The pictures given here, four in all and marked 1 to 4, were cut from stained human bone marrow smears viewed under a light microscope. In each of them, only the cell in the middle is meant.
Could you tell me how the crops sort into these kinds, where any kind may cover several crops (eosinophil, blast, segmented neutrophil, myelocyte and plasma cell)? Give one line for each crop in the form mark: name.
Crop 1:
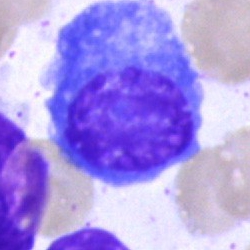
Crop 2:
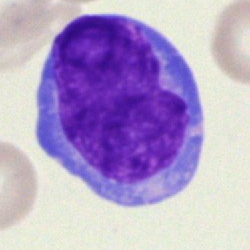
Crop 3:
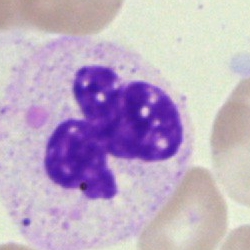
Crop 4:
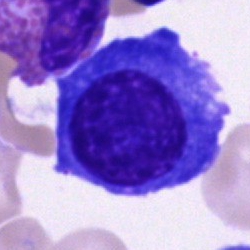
1: plasma cell
2: blast
3: segmented neutrophil
4: plasma cell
